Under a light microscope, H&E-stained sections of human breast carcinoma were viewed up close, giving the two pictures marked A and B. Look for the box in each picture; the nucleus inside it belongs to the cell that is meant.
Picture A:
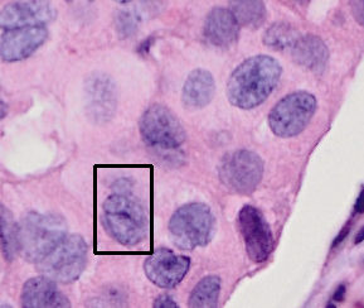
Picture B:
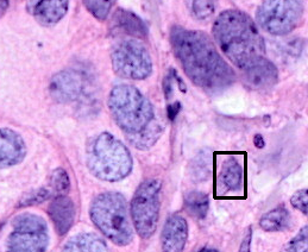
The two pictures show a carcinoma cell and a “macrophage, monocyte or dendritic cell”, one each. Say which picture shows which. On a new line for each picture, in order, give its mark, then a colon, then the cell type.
A: carcinoma cell
B: macrophage, monocyte or dendritic cell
